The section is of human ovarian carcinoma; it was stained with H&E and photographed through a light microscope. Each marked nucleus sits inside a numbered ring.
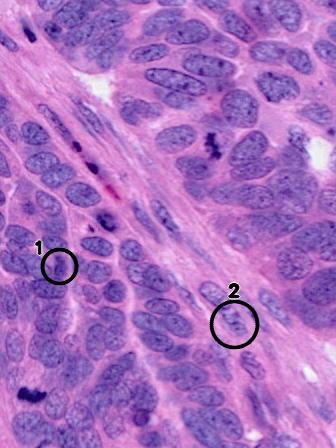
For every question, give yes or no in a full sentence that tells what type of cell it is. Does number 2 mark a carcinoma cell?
No, cell 2 is to be read as a fibroblast, not a carcinoma cell.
